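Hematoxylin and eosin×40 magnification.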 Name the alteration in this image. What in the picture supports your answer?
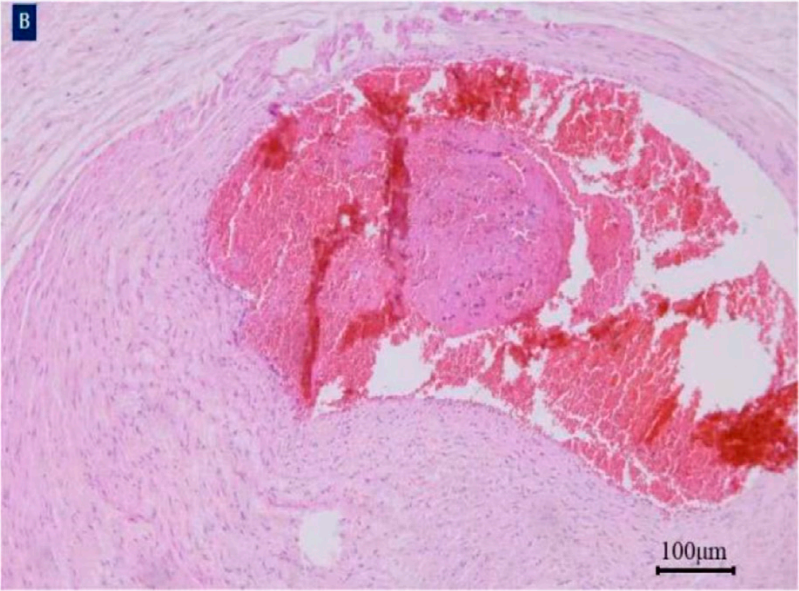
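The vessel lumen is filled with a mass of packed red blood cells. A pale pink rounded mass lies within the blood in the lumen.
Thrombus.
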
